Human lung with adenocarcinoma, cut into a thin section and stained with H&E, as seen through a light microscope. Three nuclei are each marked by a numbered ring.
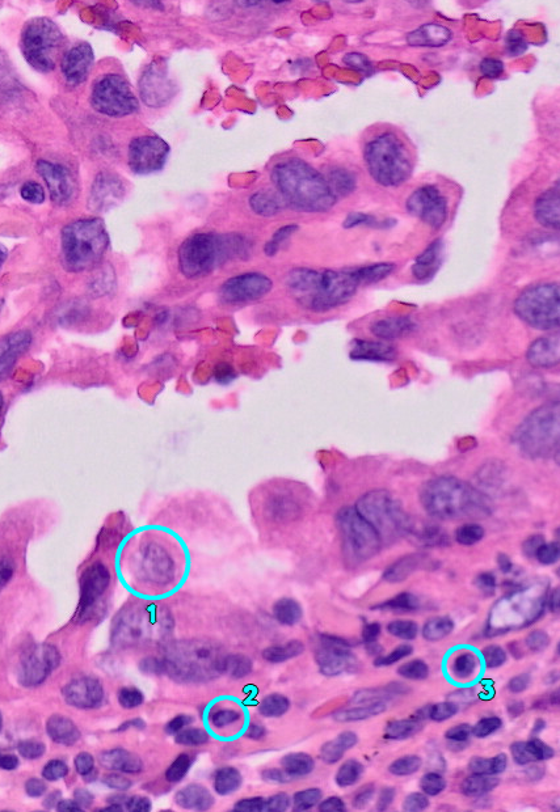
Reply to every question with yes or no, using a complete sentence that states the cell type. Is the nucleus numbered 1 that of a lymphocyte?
No, cell 1 has been misnamed; it is a carcinoma cell, not a lymphocyte.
